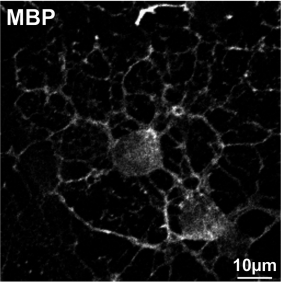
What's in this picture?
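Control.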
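Two rounded cell bodies lie close together near the centre, one above and slightly left of the other, each with a diffuse, fairly even glow; a small bright ring lies just above the upper one. From both cell bodies slender processes spread out and branch repeatedly. The fine branches meet and fuse, forming a wide web of irregular loops that fills the field, with beaded thickenings along the strands and at their crossings. The spaces enclosed by the loops are dark.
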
